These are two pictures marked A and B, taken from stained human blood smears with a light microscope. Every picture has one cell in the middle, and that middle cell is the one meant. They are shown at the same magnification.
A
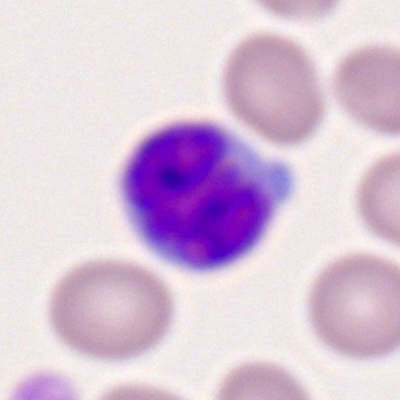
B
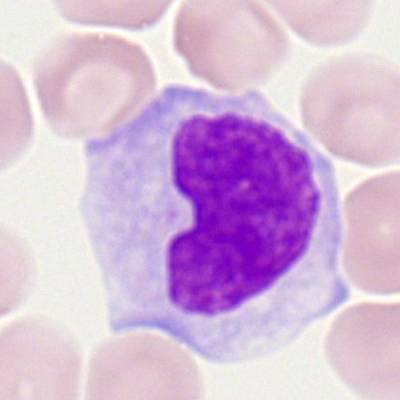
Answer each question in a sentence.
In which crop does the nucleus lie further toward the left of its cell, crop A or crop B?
It is the nucleus in crop A that lies further toward the left of its cell.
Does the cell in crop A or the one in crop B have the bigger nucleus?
The nucleus in crop B is larger, with about 2 times the area of the one in crop A.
